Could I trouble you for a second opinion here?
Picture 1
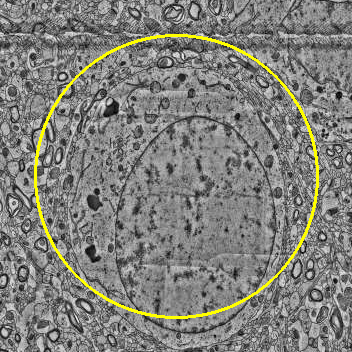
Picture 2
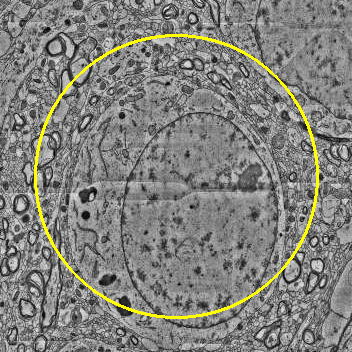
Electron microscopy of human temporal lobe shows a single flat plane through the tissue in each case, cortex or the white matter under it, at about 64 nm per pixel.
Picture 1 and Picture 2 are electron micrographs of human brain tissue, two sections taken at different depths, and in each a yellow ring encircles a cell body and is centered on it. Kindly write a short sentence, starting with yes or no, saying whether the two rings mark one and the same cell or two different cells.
Yes, the marked cell is the same in both rings.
